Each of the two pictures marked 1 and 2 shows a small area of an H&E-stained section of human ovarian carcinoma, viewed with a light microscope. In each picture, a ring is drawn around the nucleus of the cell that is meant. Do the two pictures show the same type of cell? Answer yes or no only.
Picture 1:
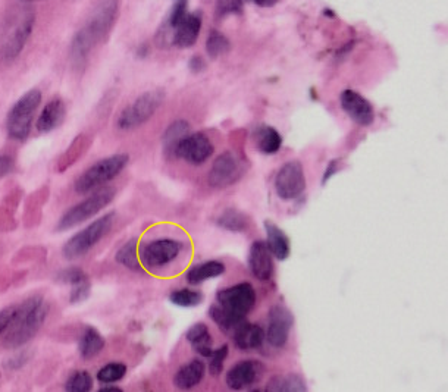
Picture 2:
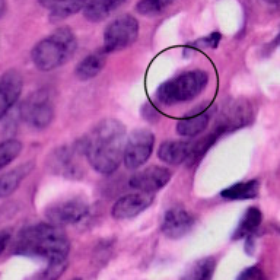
no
